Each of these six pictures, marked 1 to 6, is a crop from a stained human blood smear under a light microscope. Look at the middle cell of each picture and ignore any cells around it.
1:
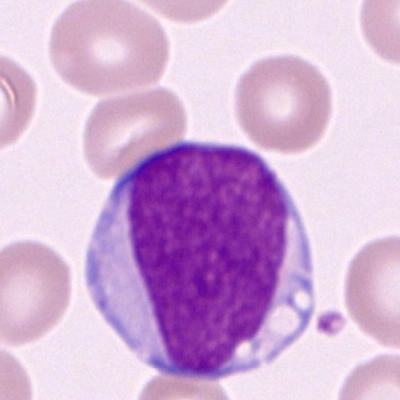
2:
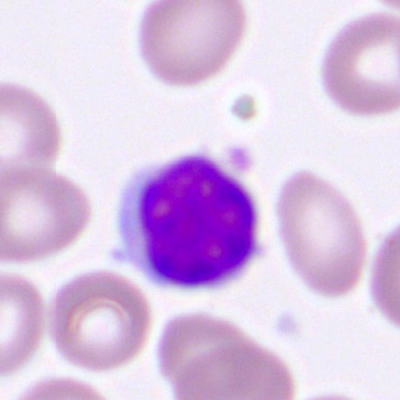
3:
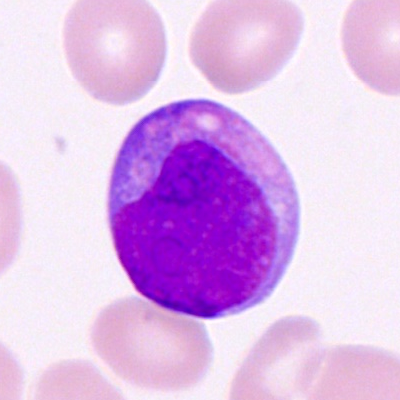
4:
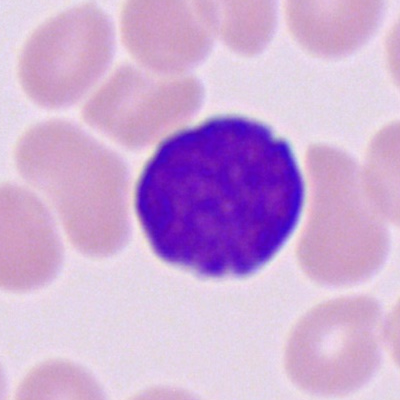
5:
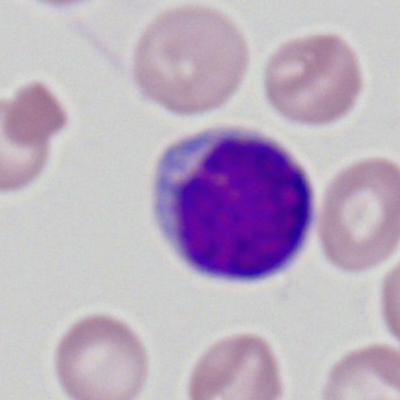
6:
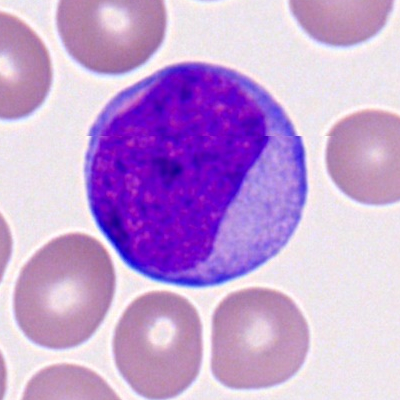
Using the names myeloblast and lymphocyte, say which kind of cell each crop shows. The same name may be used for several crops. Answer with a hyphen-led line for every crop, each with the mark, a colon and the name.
- 1: myeloblast
- 2: lymphocyte
- 3: myeloblast
- 4: myeloblast
- 5: lymphocyte
- 6: myeloblast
